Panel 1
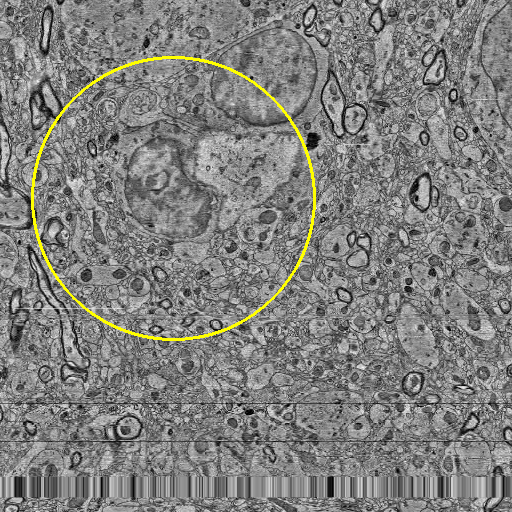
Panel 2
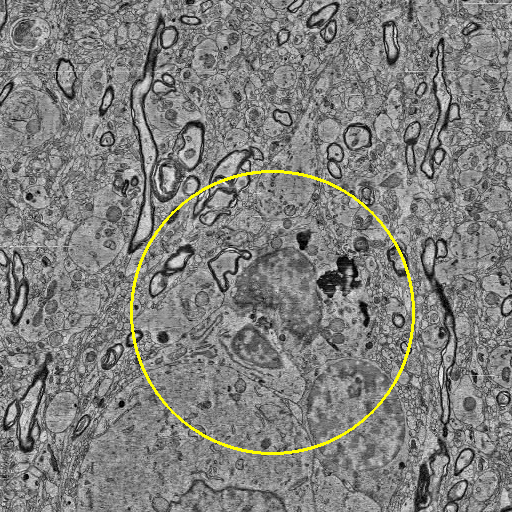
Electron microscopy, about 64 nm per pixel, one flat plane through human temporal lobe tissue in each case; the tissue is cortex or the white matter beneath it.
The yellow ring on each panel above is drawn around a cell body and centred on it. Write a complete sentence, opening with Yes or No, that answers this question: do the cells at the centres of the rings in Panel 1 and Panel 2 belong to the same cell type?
Yes, both cells belong to the same cell type.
